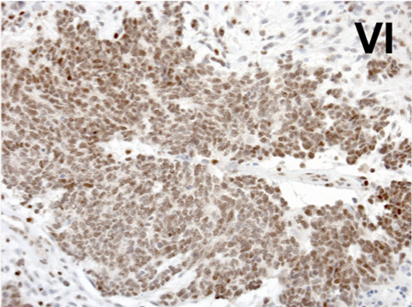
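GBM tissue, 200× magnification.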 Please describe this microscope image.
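This is densely cellular glioblastoma tissue in which the tumor cells form solid sheets of closely packed nuclei. Nearly every nucleus carries a brown nuclear stain, so the sheets look uniformly brown, with only little pale cytoplasm between the nuclei. The nuclei are round to oval and crowded against one another. Narrow pale clefts and small spaces, some lined by thin strands of paler tissue, run through the sheets and separate them into irregular lobules. A few bluish unstained nuclei can be seen at the edges and within the clefts.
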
